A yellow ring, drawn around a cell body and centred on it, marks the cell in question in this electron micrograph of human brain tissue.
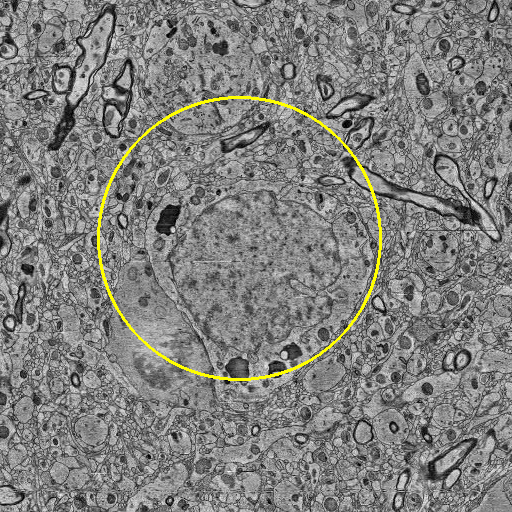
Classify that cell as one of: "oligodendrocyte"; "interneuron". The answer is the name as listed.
interneuron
